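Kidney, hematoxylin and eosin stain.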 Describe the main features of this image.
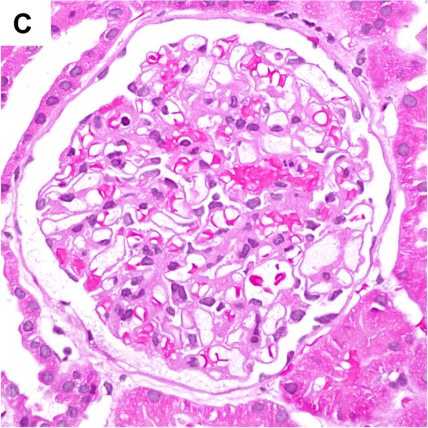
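A single glomerulus fills the field, a round tuft of capillary loops sitting inside a thin capsule with a narrow clear space around it. The loops are mostly open, with thin pink walls, and several hold bright red blood cells. Purple nuclei are scattered through the tuft without crowding, and the pale pink stalk-like areas between loops are not expanded. Around the capsule lie tubules lined by cuboidal cells with pink cytoplasm and round nuclei. Altogether the glomerulus looks within normal limits.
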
